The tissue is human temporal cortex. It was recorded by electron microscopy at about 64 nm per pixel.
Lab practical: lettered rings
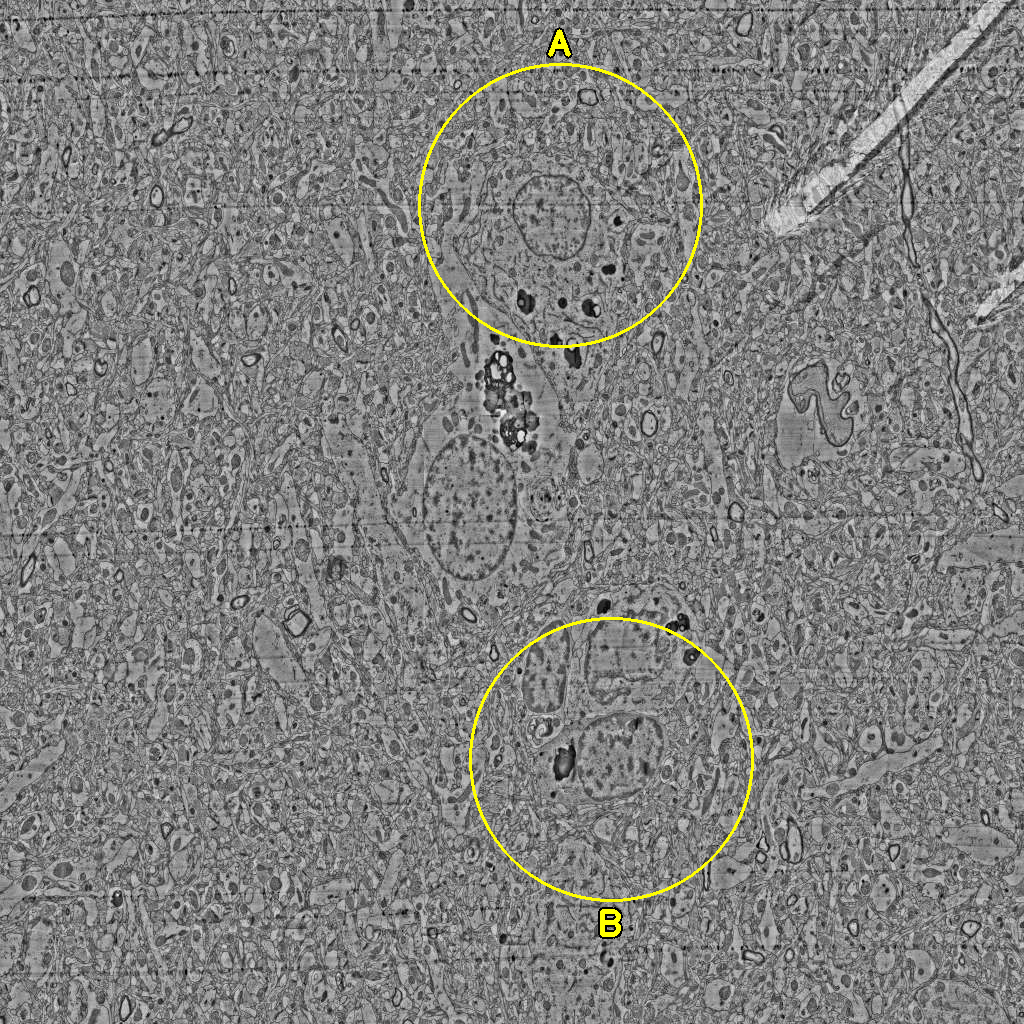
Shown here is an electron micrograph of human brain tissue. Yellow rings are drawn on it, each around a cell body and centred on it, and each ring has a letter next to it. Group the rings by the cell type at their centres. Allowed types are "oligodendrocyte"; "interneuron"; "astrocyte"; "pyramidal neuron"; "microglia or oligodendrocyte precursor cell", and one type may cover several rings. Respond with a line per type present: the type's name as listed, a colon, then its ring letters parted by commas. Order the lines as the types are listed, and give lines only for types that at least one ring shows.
oligodendrocyte: B
pyramidal neuron: A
